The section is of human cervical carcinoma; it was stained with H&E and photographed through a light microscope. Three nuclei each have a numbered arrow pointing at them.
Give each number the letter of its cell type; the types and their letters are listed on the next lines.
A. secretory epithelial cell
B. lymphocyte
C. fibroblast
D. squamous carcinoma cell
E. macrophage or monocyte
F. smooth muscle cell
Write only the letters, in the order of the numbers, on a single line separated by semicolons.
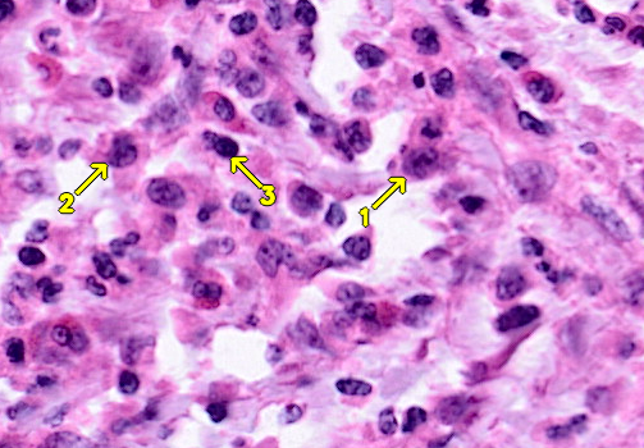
E; E; B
